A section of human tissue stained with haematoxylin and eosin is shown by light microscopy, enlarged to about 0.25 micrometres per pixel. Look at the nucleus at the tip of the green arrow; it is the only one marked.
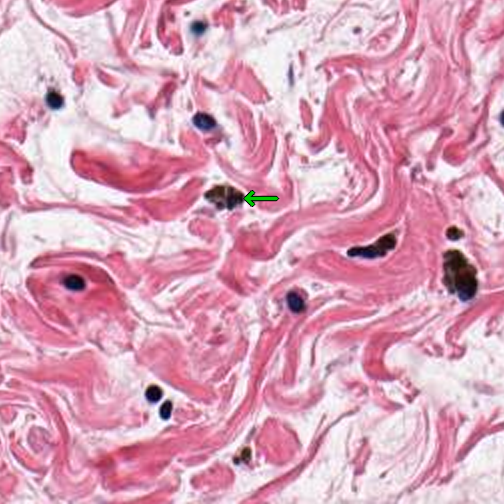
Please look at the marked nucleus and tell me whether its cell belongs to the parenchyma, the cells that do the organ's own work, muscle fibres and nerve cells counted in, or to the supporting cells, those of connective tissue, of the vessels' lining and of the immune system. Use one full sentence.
A supporting cell is the cell in which the marked nucleus is found.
